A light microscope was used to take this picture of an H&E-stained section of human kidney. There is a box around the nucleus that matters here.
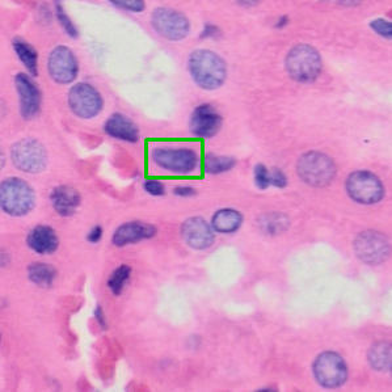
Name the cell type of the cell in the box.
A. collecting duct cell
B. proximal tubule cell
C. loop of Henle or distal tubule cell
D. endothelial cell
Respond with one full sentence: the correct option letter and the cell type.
Given that the cell in the box is a collecting duct cell, option A is the correct one.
